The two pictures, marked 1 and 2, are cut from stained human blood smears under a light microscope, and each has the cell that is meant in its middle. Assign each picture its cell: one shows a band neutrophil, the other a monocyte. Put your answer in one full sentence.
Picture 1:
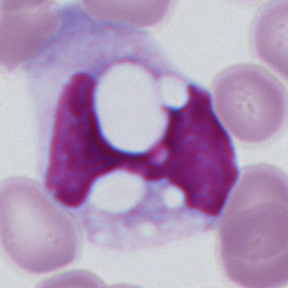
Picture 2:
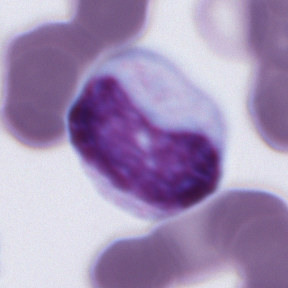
Picture 1 is of a monocyte, and picture 2 is of a band neutrophil.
